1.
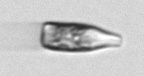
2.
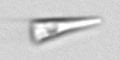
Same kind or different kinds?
Same: Licmophora.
